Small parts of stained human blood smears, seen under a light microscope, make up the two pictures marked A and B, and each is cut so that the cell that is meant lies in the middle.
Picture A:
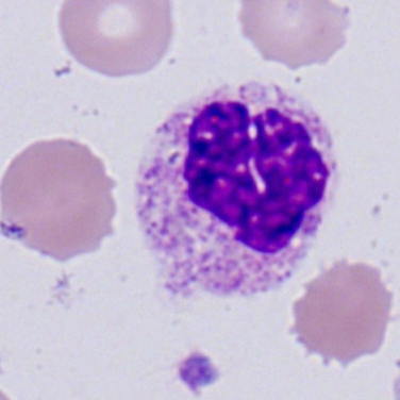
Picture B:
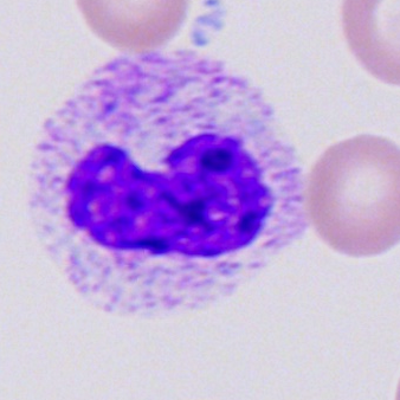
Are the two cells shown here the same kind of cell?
yes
